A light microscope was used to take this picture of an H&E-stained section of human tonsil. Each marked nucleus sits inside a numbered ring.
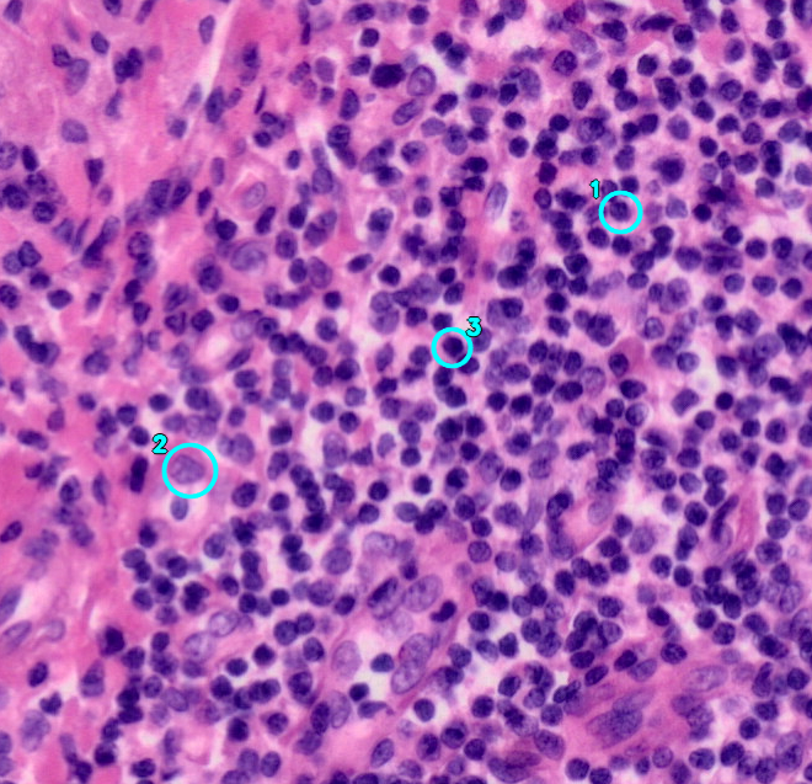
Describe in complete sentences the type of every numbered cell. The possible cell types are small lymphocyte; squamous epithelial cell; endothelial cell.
Cells 1 and 3 are small lymphocytes. Cell 2 is an endothelial cell.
